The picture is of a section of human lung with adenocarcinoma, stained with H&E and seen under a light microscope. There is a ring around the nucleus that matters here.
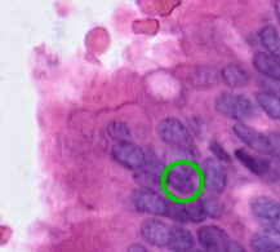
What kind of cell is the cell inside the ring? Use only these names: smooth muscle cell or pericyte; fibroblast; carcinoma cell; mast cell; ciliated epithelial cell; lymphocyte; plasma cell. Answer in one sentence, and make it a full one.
Recorded by type, the cell inside the ring is a ciliated epithelial cell.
